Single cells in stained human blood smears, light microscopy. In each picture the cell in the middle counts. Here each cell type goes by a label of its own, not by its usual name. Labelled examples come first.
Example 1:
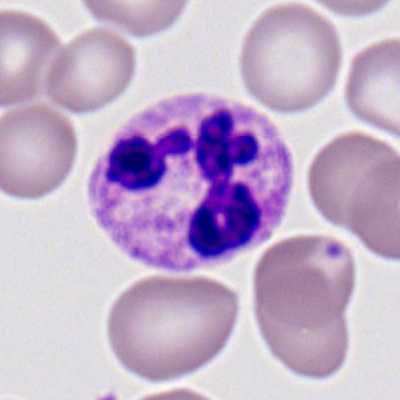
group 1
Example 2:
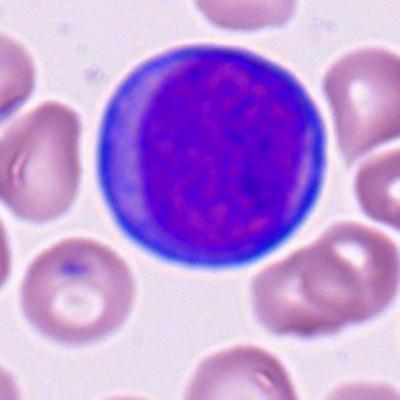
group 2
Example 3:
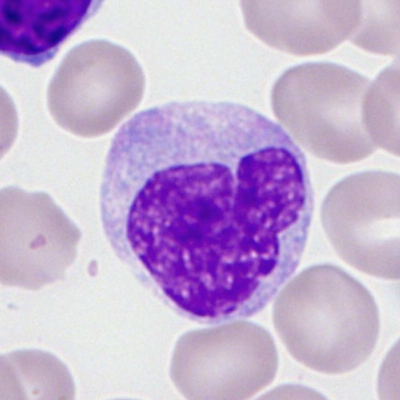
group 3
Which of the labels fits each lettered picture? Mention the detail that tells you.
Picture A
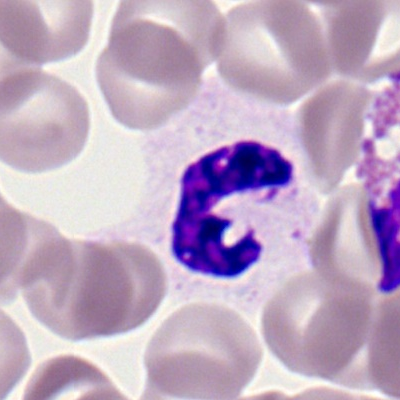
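Answer: group 1. The nucleus is a single unsegmented curved band shaped like a letter C.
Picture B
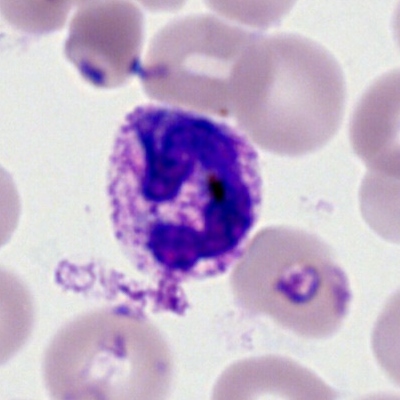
Answer: group 1. The nucleus is curved and band-like, wrapping around a central patch of granular cytoplasm.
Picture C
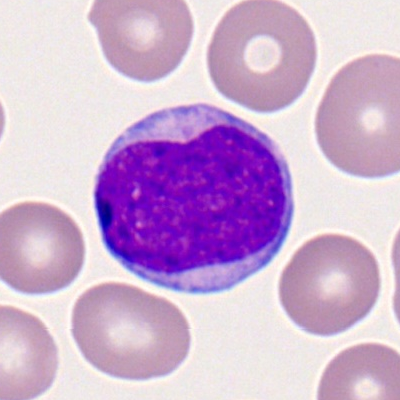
Answer: group 2. The nucleus fills most of the cell.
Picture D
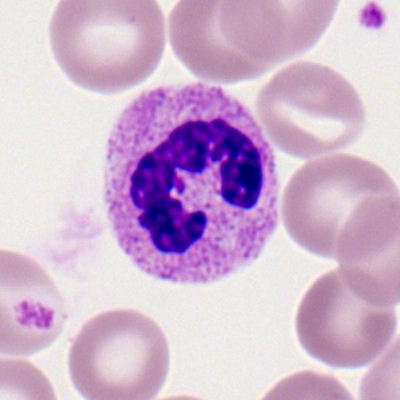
Answer: group 1. The nucleus is a curved band that wraps around a central patch of pale cytoplasm.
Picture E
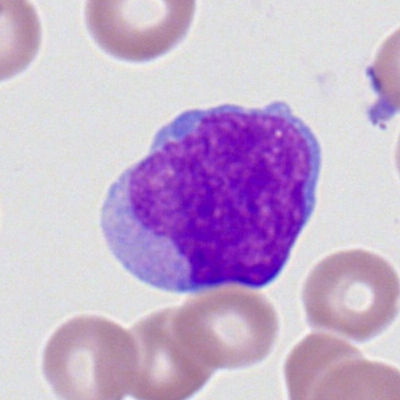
Answer: group 2. The nucleus is a single unlobed mass that fills most of the cell.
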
